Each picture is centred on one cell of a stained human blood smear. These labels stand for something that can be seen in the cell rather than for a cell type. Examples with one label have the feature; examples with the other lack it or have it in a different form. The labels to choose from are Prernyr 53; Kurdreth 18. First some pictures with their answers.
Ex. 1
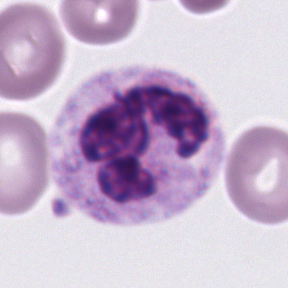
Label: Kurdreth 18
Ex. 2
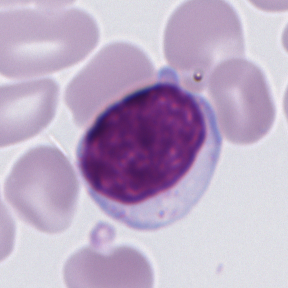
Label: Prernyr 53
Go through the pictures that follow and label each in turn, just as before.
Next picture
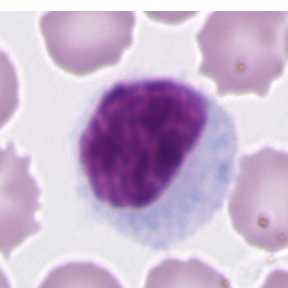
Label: Kurdreth 18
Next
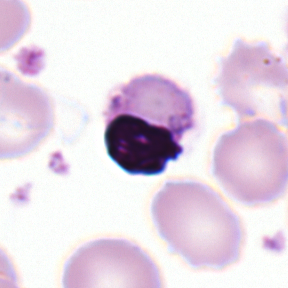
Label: Prernyr 53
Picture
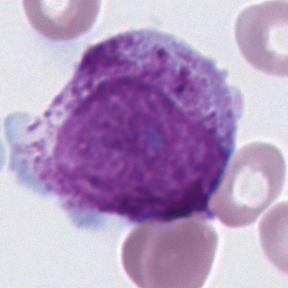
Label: Prernyr 53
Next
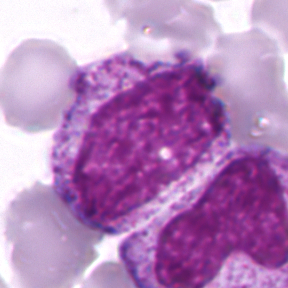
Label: Prernyr 53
